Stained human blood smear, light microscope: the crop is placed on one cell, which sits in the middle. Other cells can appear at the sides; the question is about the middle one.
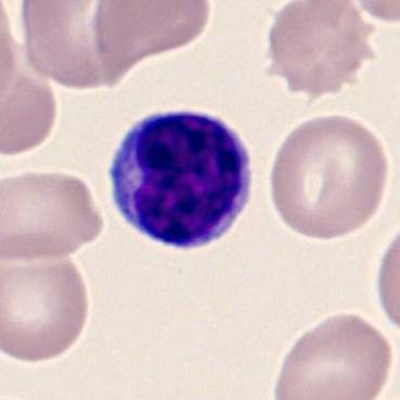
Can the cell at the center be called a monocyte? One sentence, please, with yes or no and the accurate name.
No, the cell under consideration is a lymphocyte instead of a monocyte.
